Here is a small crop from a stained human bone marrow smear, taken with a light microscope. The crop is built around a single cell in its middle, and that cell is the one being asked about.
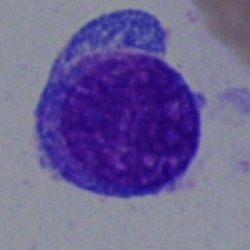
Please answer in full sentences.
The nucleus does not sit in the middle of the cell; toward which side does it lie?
Seen from the middle of the cell, the nucleus lies toward the lower right.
